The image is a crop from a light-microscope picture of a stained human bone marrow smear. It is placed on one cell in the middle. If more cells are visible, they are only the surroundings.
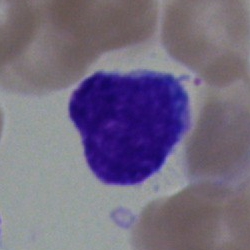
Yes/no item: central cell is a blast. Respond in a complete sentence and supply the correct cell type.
Yes, the cell at the centre of the field is a blast.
